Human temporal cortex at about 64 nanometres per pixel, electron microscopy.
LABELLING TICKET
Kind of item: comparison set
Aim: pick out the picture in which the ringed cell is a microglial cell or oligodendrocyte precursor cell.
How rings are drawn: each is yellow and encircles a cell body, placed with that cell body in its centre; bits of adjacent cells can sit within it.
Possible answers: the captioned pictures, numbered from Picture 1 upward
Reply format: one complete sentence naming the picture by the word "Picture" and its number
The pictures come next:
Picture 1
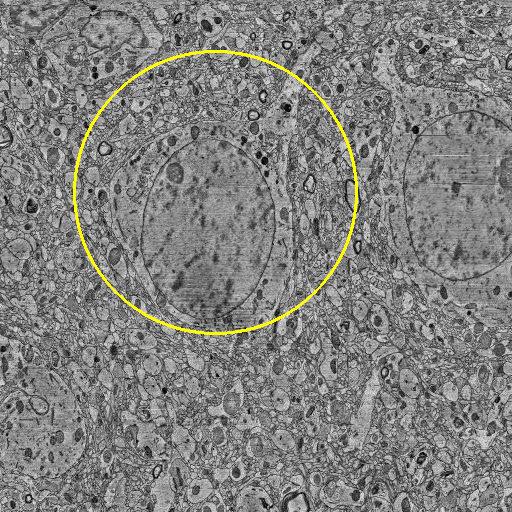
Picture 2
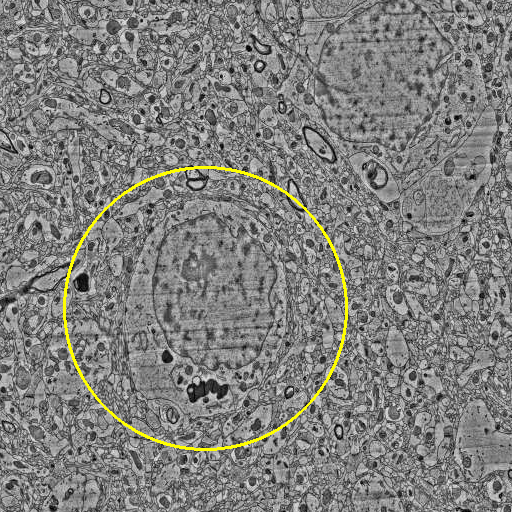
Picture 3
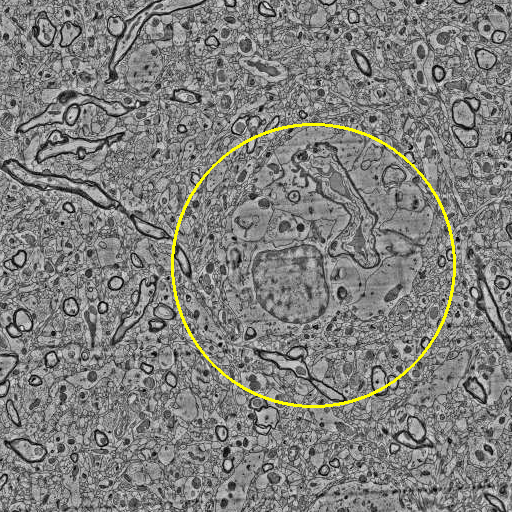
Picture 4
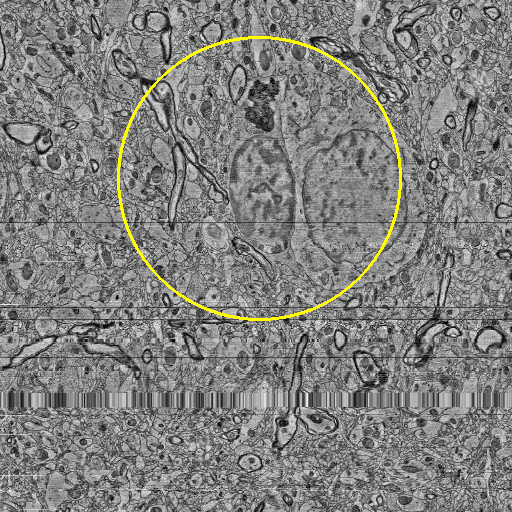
The cell centred inside the yellow ring in Picture 3 is the requested one.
